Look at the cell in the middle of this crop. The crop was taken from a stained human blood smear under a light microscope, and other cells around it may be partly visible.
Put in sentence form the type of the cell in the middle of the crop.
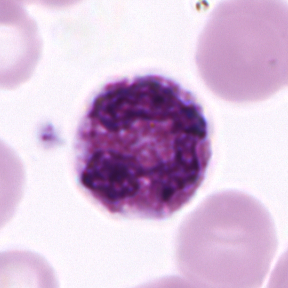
The target cell in the middle of the crop is an eosinophil.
